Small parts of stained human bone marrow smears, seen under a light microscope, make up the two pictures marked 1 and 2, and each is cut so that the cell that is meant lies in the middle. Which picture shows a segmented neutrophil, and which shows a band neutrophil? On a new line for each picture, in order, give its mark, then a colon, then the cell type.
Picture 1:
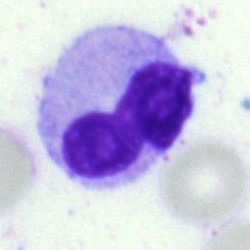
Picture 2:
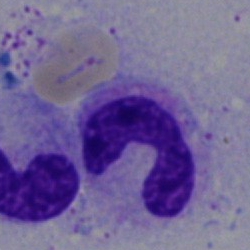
1: band neutrophil
2: segmented neutrophil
